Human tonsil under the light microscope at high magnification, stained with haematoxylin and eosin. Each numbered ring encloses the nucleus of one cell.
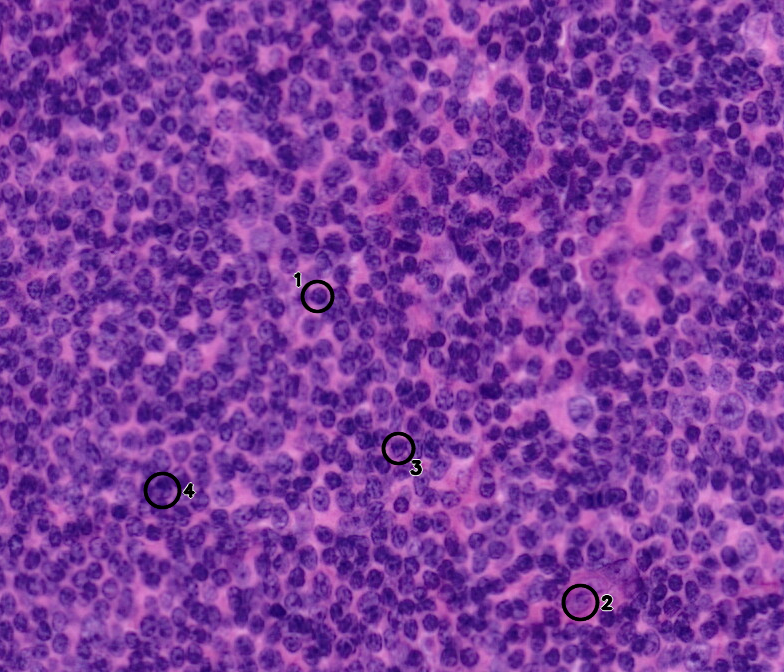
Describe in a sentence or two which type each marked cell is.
Cells 1, 3 and 4 are small lymphocytes. Cell 2 is an endothelial cell.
